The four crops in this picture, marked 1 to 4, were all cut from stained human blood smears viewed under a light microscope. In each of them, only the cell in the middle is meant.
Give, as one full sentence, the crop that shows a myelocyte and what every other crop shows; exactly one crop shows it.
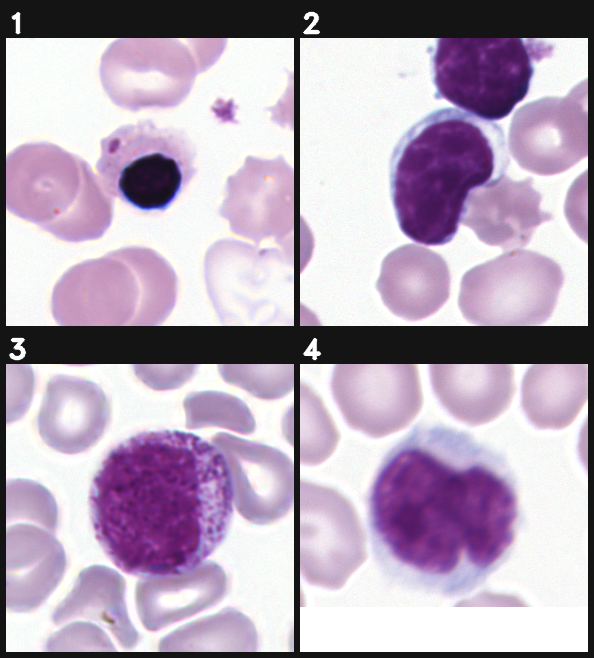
The central cell in crop 3 is a myelocyte, whereas crop 1 is an erythroblast, crop 2 is a typical lymphocyte and crop 4 is a hairy cell.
